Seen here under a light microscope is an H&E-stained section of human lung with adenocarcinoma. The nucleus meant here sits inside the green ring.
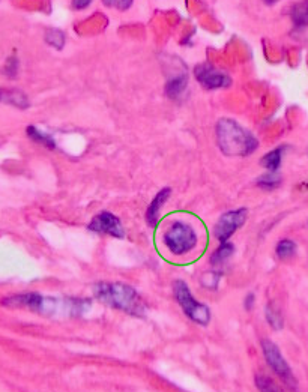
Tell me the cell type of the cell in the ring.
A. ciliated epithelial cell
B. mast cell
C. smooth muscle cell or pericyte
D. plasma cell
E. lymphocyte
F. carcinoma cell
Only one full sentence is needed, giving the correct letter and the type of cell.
As stated in option B, the cell in the ring is a mast cell.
